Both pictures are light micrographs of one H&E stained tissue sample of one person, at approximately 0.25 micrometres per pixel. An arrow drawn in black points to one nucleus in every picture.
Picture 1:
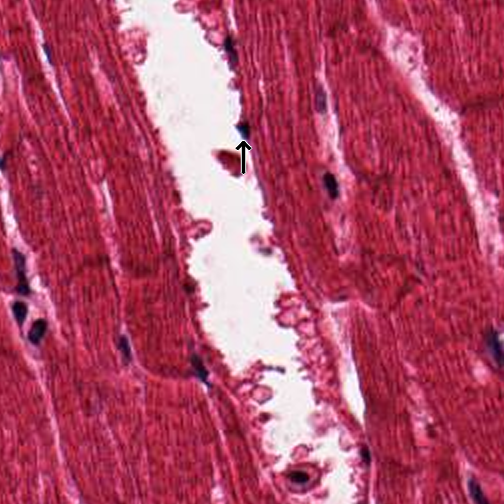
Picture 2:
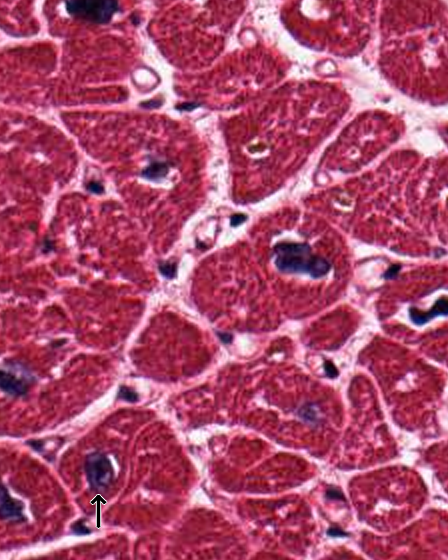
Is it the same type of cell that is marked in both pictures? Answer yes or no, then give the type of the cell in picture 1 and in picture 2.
No, the first is an endothelial cell and the second a cardiomyocyte.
